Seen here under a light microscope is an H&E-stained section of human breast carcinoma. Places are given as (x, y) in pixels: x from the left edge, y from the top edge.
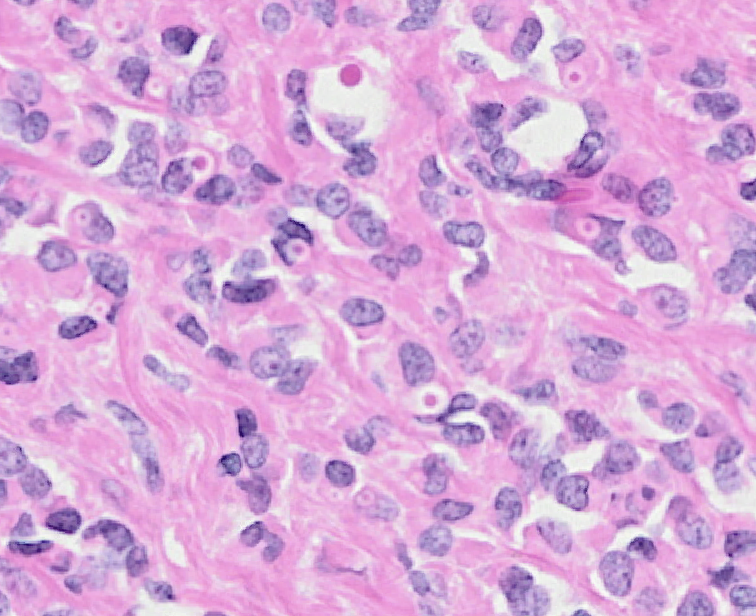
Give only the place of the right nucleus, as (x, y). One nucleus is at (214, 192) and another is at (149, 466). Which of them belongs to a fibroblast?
(149, 466)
